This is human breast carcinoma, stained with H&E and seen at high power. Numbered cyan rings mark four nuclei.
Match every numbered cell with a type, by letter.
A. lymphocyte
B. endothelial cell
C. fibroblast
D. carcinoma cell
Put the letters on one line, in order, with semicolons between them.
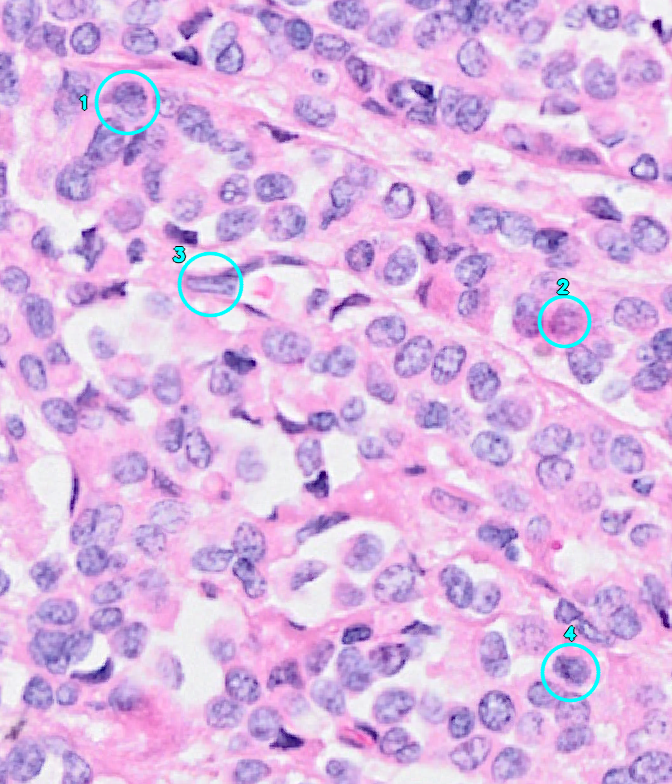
D; D; B; D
